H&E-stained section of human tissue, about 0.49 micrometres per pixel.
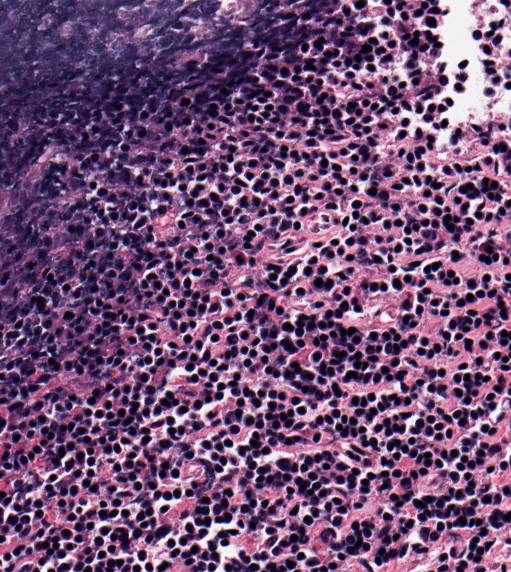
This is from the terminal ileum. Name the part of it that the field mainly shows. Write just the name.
lymphoid tissue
